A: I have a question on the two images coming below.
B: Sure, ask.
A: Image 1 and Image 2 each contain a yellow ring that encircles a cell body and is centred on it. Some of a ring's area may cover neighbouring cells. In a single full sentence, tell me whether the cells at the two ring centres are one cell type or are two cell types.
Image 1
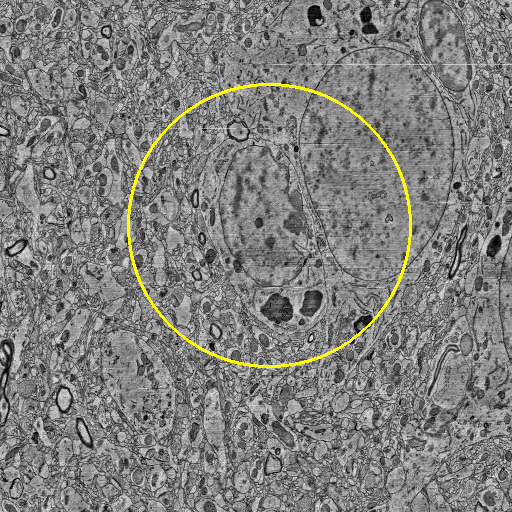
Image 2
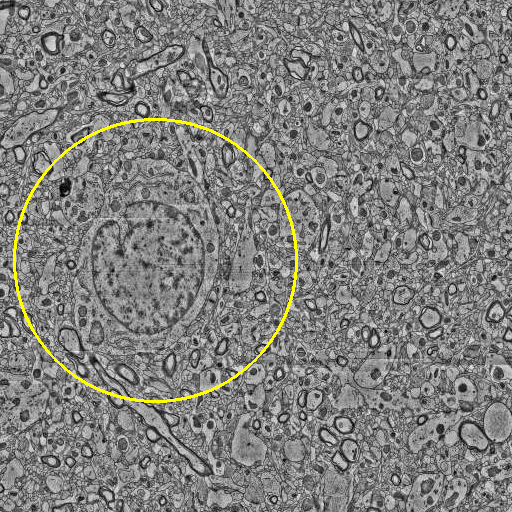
As for the ring-centre cells, the one in Image 1 and the one in Image 2 are one cell type.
